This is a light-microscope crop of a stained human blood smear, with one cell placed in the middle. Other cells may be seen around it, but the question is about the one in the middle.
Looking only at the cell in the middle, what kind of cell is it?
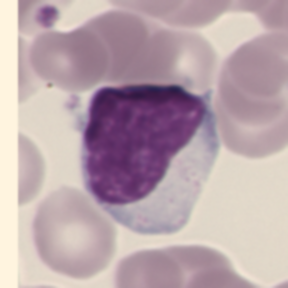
large granular lymphocyte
